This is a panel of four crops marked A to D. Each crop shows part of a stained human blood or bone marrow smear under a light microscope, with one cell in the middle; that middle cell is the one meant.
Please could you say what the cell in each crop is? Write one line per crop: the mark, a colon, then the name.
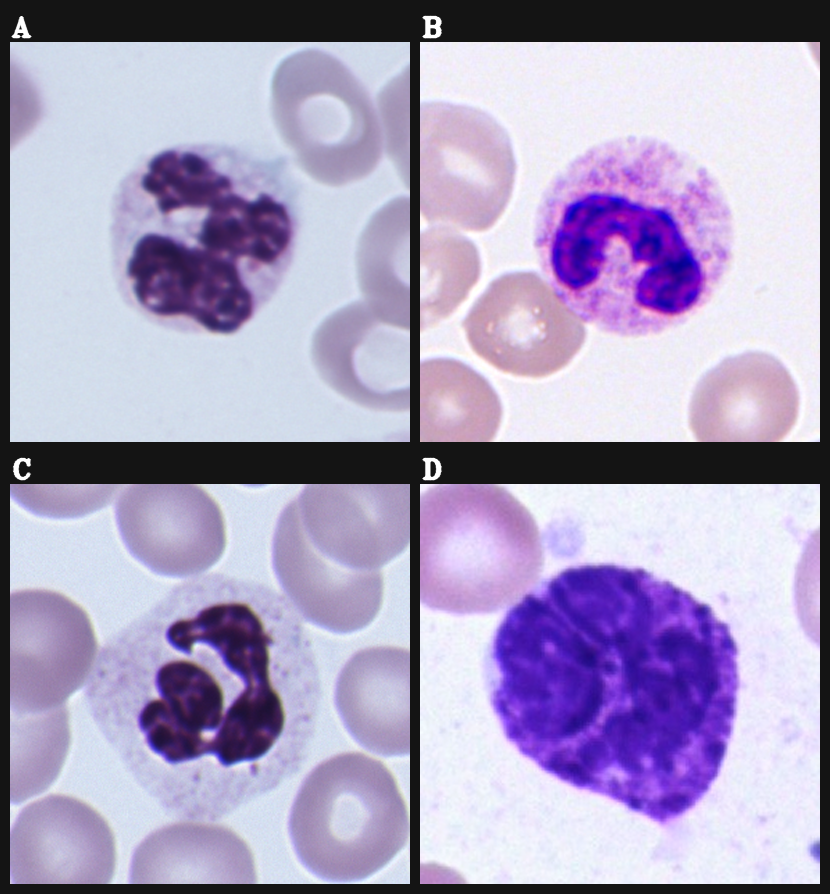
A: segmented neutrophil
B: band neutrophil
C: segmented neutrophil
D: basophil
